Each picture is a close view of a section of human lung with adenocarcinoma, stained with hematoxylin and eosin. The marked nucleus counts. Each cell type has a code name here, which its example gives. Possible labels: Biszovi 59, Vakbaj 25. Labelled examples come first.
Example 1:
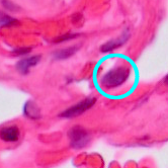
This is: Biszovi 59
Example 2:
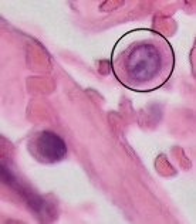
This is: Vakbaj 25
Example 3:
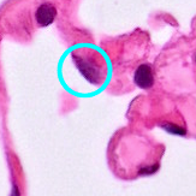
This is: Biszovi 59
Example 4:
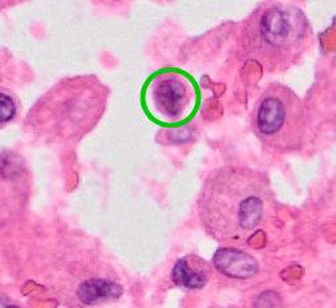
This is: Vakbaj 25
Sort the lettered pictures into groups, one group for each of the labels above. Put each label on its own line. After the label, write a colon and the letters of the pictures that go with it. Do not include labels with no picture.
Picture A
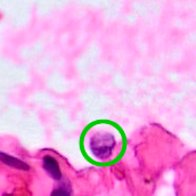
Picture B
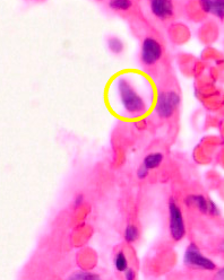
Biszovi 59: A, B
